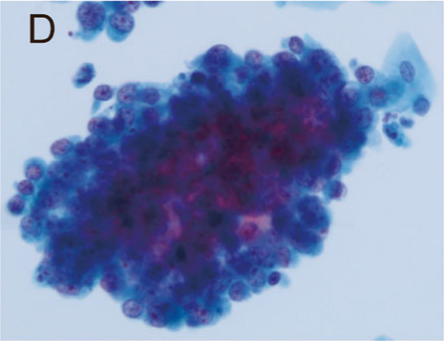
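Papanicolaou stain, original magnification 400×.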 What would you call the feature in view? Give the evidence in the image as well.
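Cell cluster. A large, dense aggregate of many overlapping cells fills the centre. Cells in the middle are piled up so that individual borders cannot be followed.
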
